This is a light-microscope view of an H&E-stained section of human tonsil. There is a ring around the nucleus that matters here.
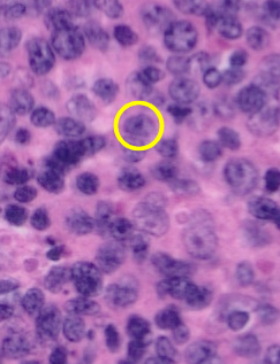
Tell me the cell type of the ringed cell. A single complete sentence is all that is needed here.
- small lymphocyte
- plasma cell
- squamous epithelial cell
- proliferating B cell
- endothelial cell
In this preparation, the ringed cell is a proliferating B cell.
